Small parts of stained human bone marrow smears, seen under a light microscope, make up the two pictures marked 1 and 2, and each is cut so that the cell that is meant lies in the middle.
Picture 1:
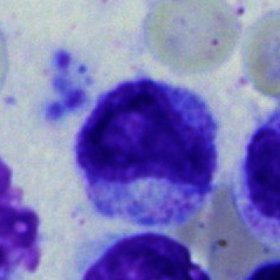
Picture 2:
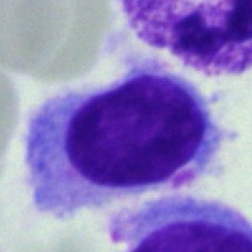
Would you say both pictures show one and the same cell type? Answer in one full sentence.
No, the types are not the same, since picture 1 shows a monocyte and picture 2 a hairy cell.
